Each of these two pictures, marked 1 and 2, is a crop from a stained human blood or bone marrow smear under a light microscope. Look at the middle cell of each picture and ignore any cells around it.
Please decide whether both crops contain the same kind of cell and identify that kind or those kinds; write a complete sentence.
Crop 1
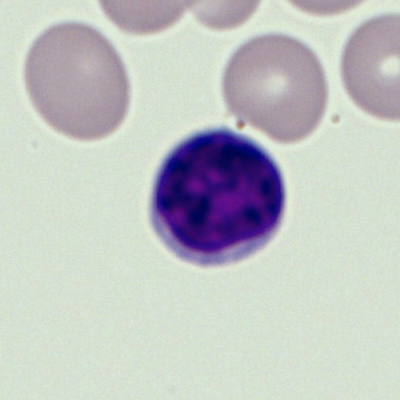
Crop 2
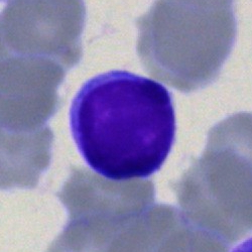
Yes, what both crops show at their centres are lymphocytes.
